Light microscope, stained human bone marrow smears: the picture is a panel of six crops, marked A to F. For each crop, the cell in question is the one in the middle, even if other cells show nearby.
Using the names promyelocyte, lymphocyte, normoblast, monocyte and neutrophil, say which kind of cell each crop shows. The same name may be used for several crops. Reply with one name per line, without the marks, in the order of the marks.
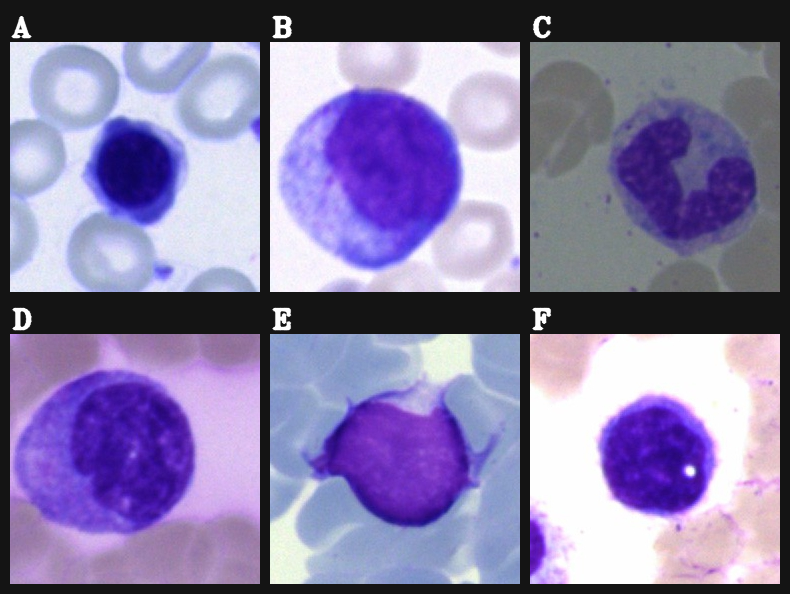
normoblast
promyelocyte
monocyte
monocyte
lymphocyte
lymphocyte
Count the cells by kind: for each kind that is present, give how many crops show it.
monocyte: 2
lymphocyte: 2
normoblast: 1
promyelocyte: 1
